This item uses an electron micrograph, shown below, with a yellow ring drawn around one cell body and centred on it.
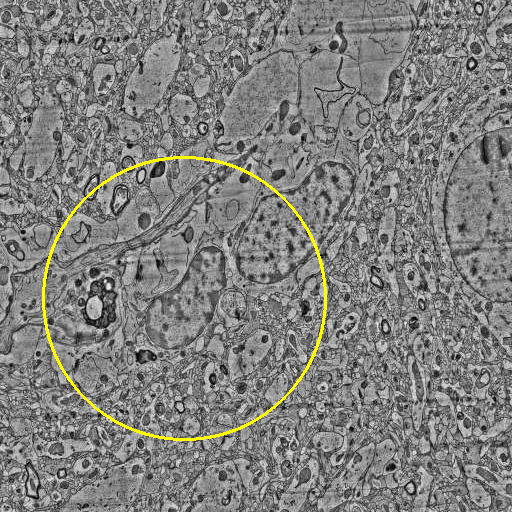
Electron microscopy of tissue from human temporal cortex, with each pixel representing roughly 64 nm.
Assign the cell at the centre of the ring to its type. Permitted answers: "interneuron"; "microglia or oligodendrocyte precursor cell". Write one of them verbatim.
microglia or oligodendrocyte precursor cell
